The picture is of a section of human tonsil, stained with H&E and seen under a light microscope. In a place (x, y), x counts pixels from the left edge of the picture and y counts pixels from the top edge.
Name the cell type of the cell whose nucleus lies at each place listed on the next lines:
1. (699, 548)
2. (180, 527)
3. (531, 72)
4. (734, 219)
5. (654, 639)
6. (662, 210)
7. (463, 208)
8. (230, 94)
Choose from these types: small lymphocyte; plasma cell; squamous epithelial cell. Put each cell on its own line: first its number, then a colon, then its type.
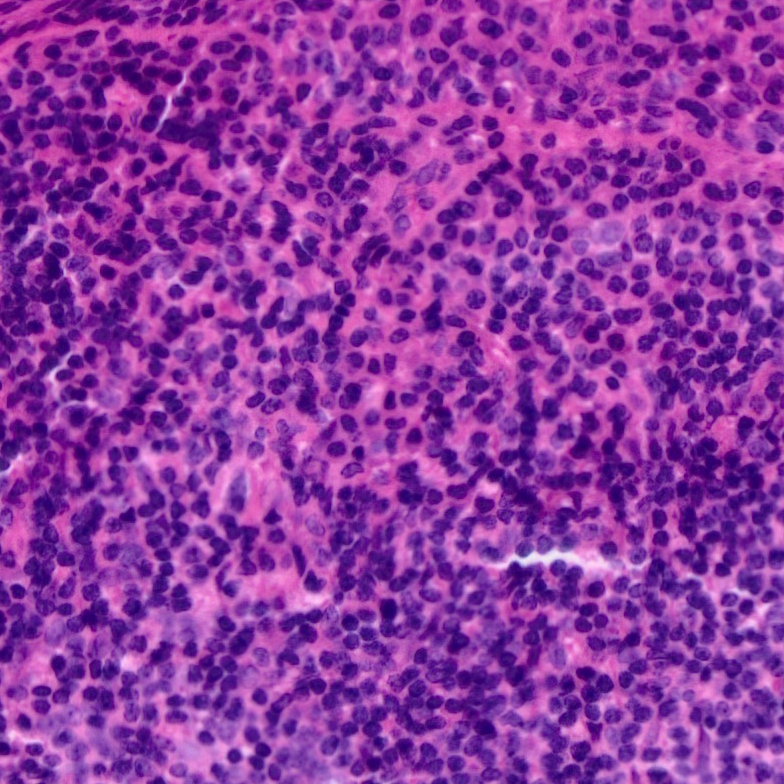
1: small lymphocyte
2: small lymphocyte
3: squamous epithelial cell
4: plasma cell
5: small lymphocyte
6: plasma cell
7: plasma cell
8: plasma cell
